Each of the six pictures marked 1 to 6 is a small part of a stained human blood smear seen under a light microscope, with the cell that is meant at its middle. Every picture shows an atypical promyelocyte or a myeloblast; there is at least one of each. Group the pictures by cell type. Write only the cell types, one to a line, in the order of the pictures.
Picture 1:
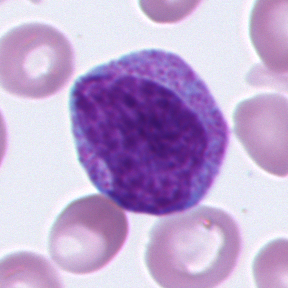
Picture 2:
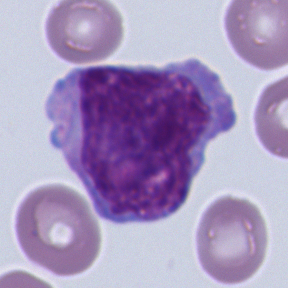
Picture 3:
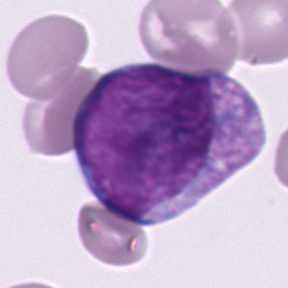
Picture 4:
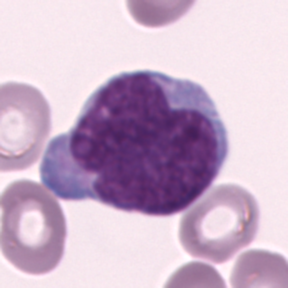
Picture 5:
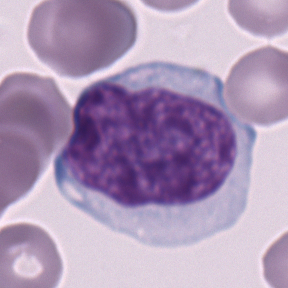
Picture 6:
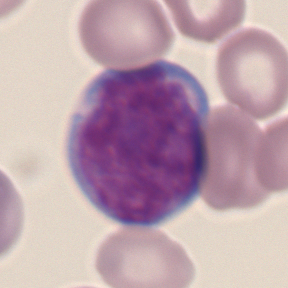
atypical promyelocyte
atypical promyelocyte
atypical promyelocyte
atypical promyelocyte
myeloblast
myeloblast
